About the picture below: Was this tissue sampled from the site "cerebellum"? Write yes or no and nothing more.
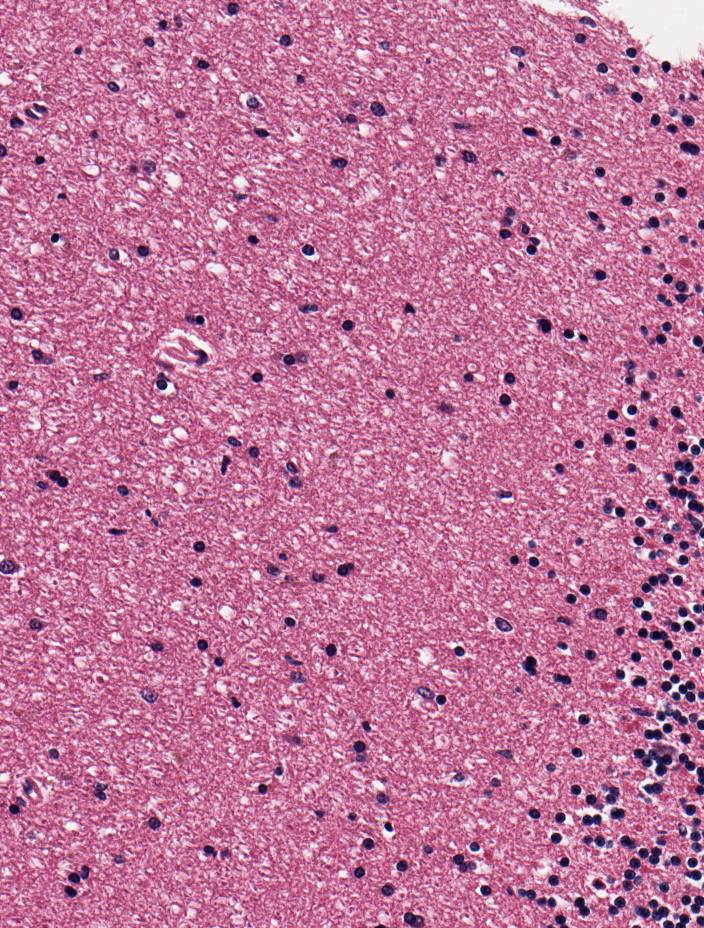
yes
